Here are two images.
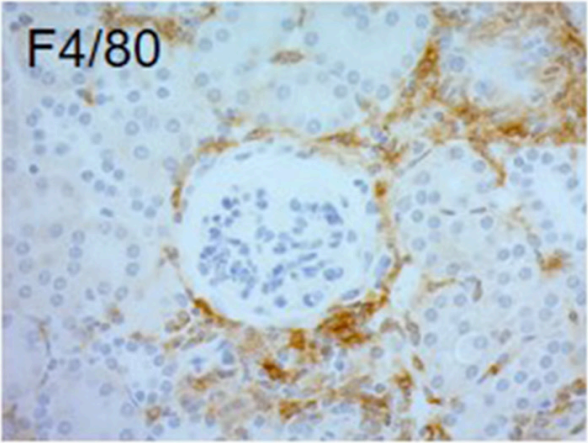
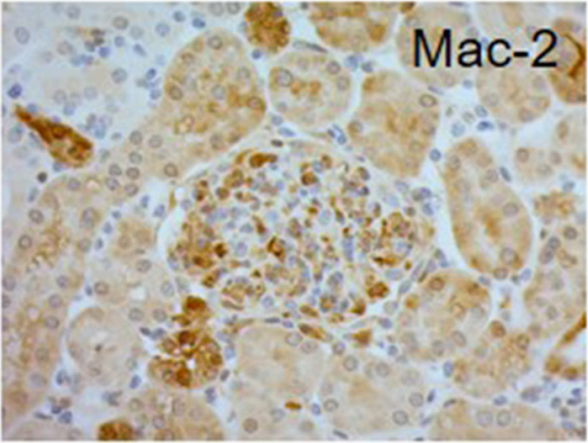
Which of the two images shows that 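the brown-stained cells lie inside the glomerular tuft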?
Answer: The second image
